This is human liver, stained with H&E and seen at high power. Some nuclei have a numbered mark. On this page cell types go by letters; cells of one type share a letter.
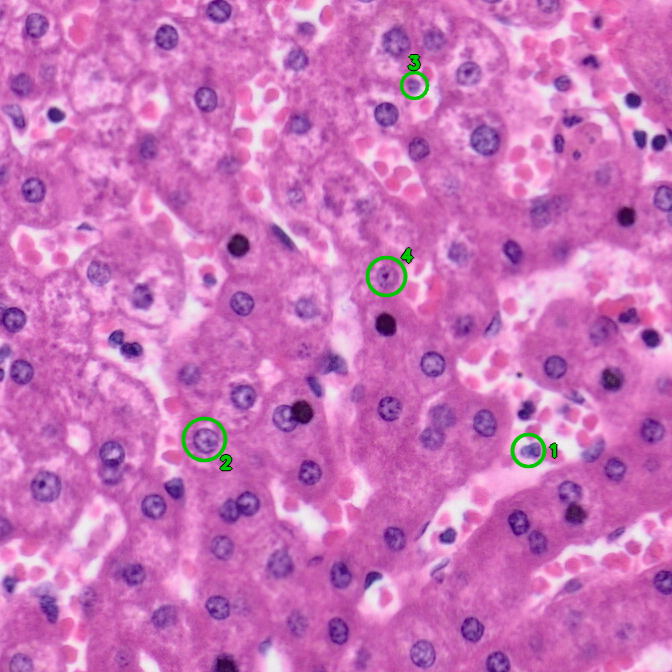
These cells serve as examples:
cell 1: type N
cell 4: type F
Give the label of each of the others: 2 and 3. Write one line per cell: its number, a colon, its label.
2: type F
3: type N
